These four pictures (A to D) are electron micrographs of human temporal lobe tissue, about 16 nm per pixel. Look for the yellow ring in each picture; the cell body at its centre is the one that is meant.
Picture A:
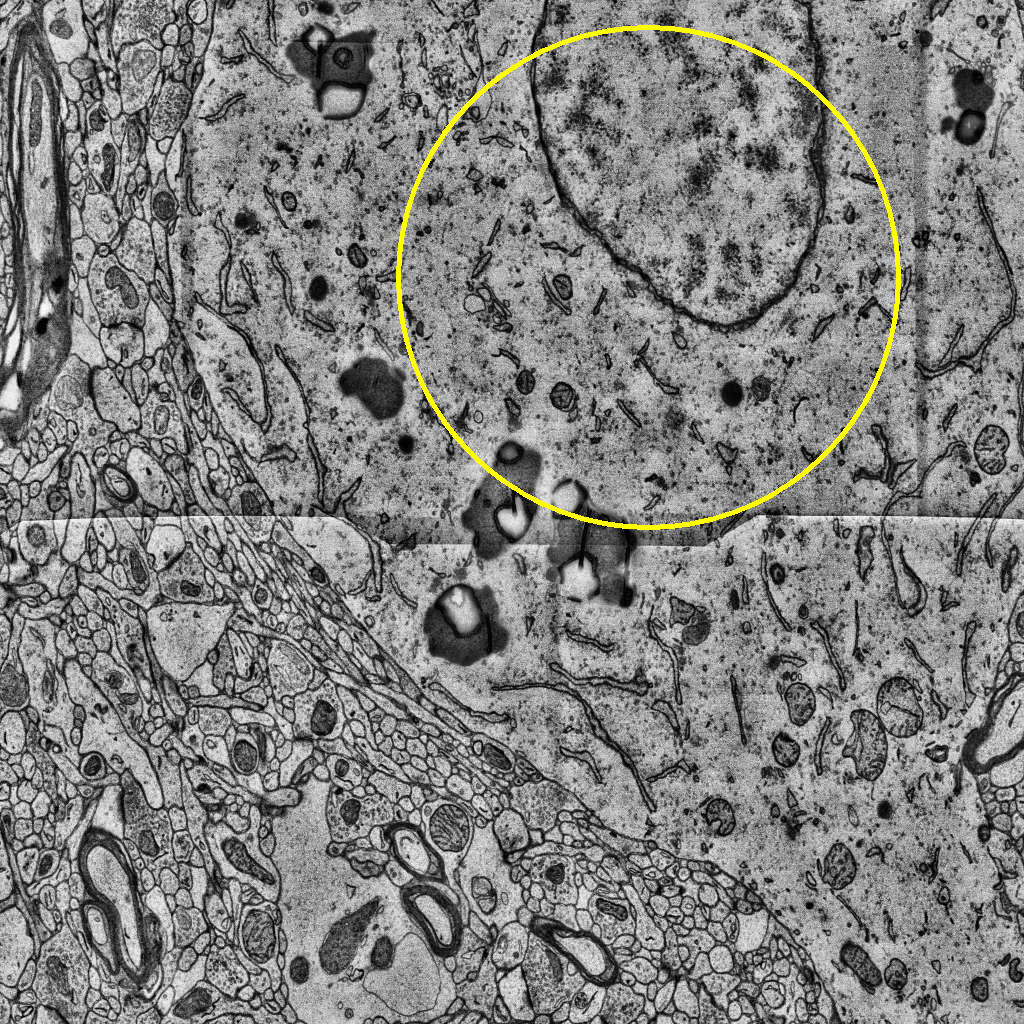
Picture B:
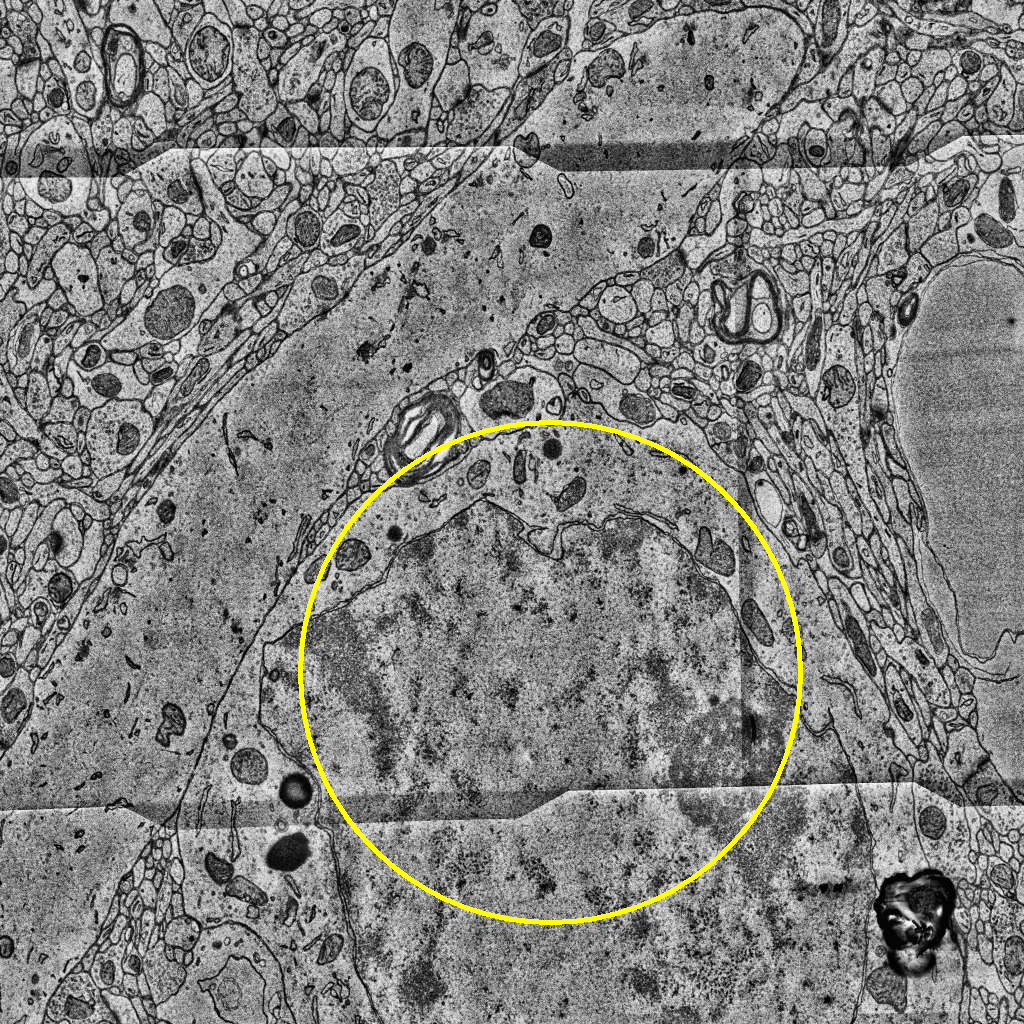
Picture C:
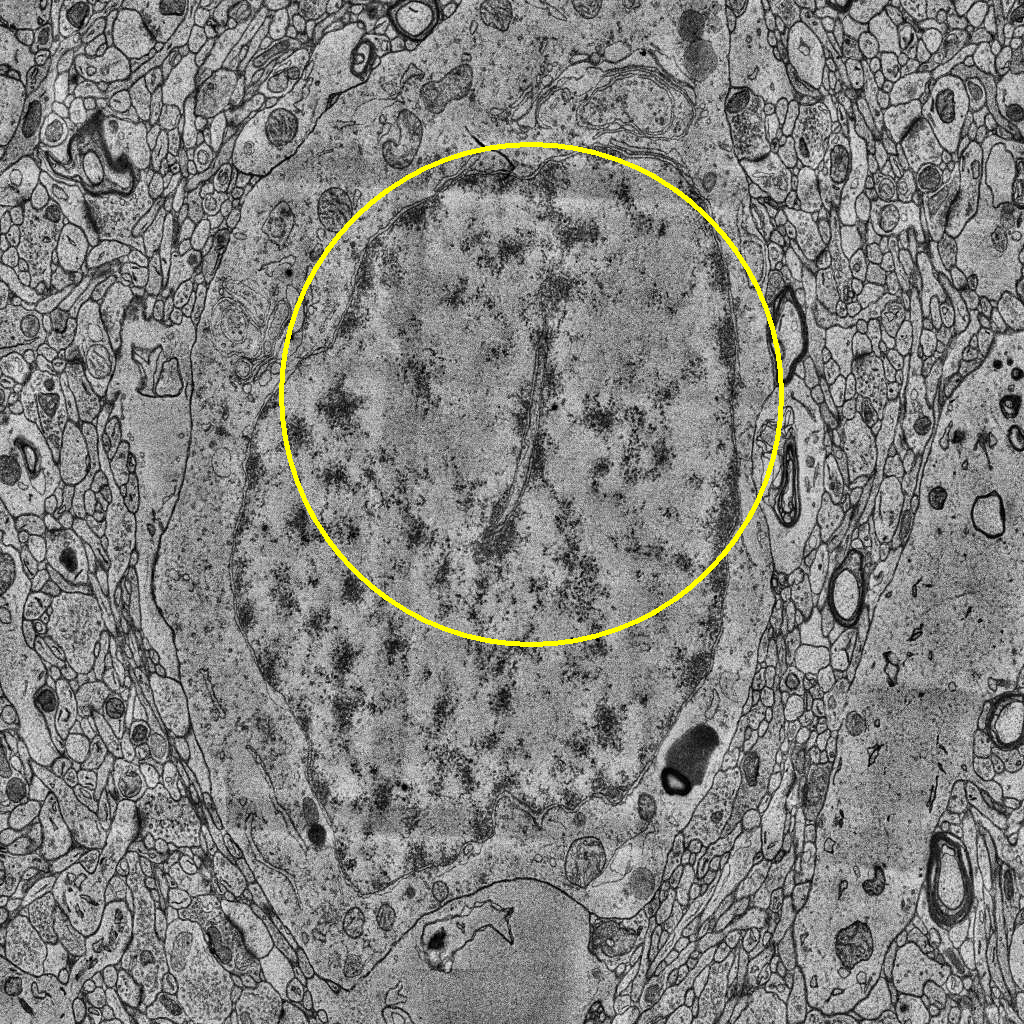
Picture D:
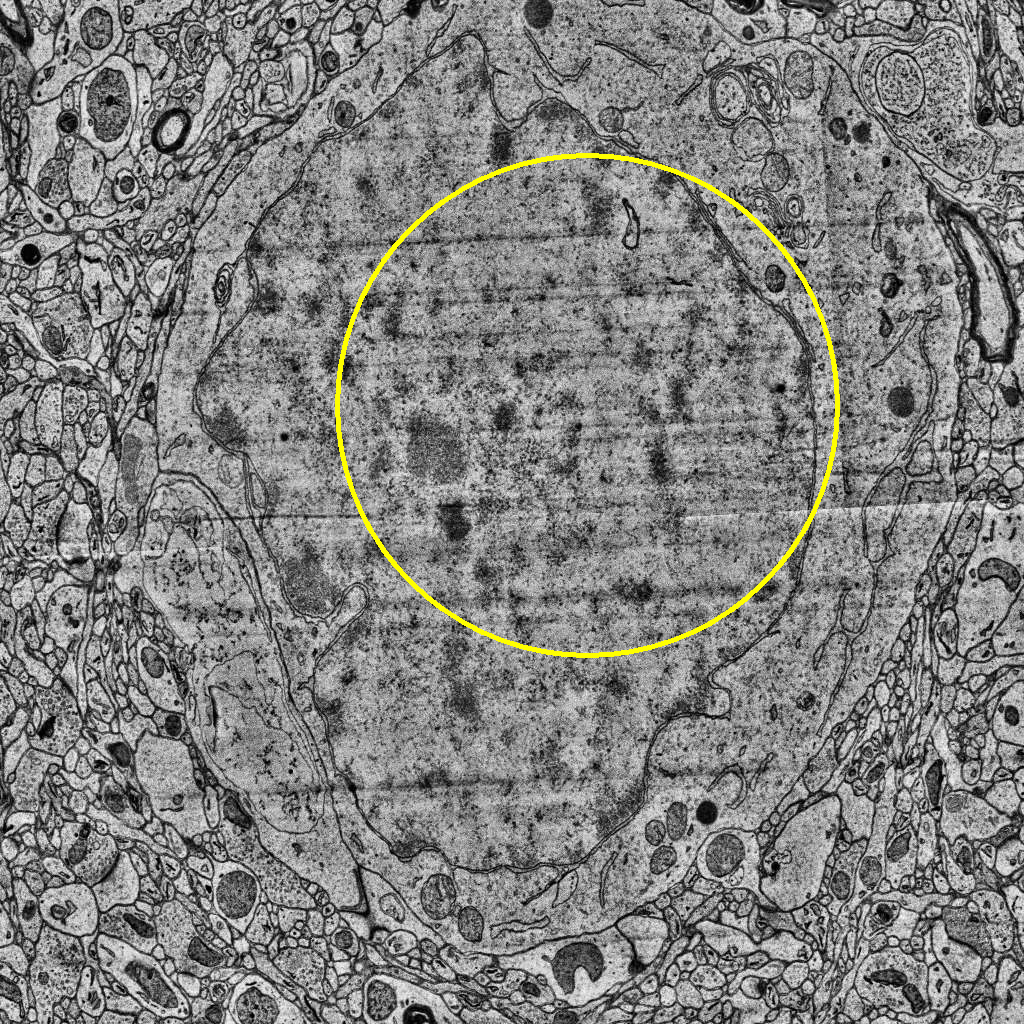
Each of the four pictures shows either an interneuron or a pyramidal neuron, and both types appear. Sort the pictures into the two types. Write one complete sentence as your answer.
Pictures B, C and D show interneurons; picture A shows a pyramidal neuron.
